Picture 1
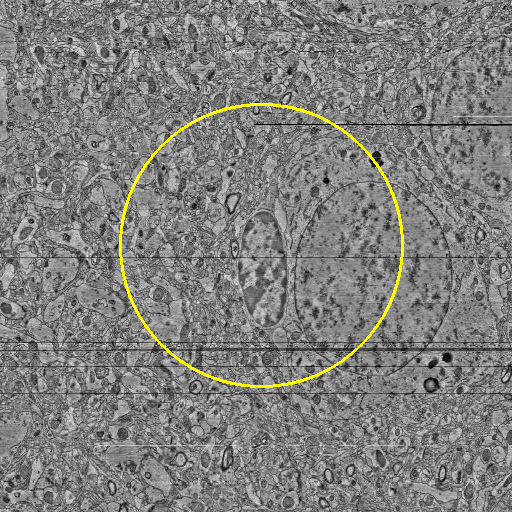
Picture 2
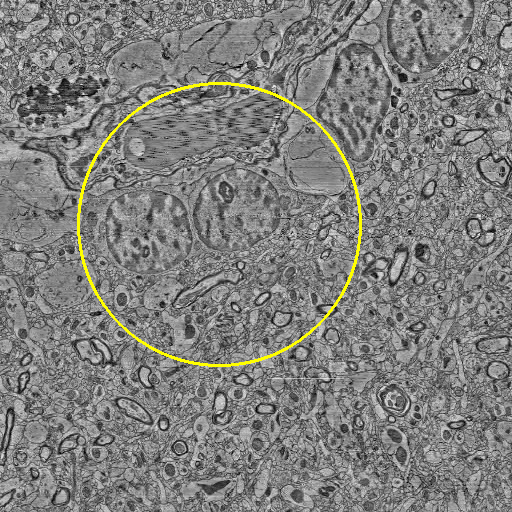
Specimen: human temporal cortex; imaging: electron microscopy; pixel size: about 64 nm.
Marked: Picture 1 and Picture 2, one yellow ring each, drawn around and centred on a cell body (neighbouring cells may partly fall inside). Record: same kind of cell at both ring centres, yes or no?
no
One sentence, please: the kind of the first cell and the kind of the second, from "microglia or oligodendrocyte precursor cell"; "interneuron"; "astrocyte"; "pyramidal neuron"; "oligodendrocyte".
The ring in the first picture surrounds a microglial cell or oligodendrocyte precursor cell, and the ring in the second surrounds an oligodendrocyte.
